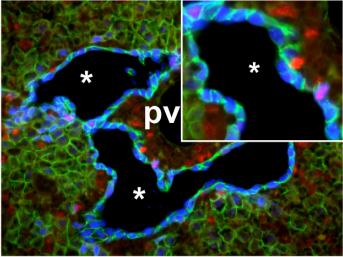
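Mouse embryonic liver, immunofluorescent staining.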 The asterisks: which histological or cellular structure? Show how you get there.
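Large empty black spaces are marked by the asterisks. The spaces are lined by a thin single layer of epithelial cells with blue nuclei.
Cysts.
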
